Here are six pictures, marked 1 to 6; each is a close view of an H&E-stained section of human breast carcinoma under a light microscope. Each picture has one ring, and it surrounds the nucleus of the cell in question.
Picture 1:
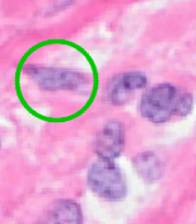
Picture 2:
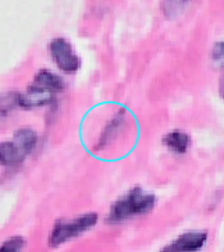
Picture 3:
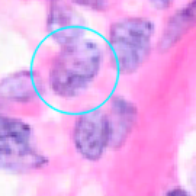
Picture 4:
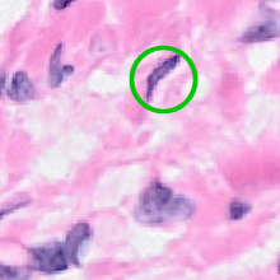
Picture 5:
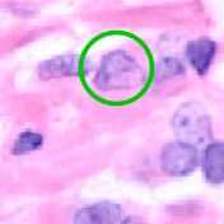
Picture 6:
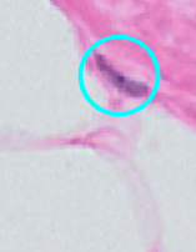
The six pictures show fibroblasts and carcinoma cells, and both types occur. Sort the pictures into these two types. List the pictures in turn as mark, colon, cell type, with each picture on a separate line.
1: fibroblast
2: fibroblast
3: carcinoma cell
4: fibroblast
5: carcinoma cell
6: fibroblast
